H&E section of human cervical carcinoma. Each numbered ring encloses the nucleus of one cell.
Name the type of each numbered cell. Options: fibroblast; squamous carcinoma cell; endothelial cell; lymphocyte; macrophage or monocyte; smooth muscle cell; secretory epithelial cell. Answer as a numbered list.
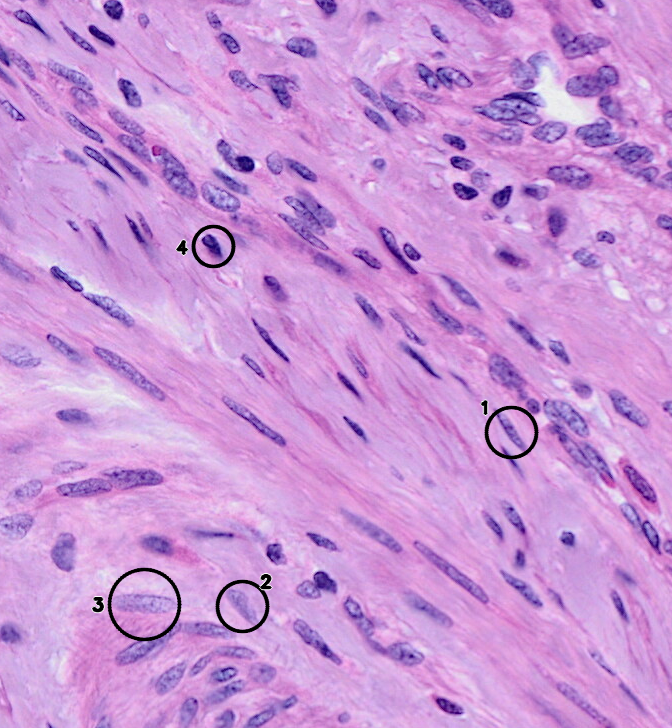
1. fibroblast
2. fibroblast
3. smooth muscle cell
4. lymphocyte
